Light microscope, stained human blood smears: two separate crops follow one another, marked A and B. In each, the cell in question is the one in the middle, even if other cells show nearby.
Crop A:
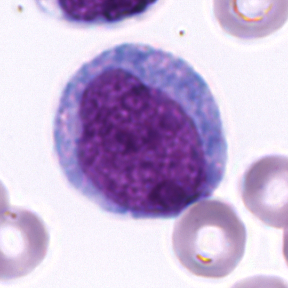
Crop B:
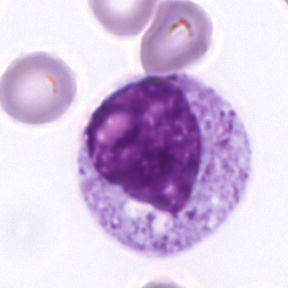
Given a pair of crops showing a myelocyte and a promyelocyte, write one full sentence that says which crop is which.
The middle cell in crop A is a promyelocyte; the middle cell in crop B is a myelocyte.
